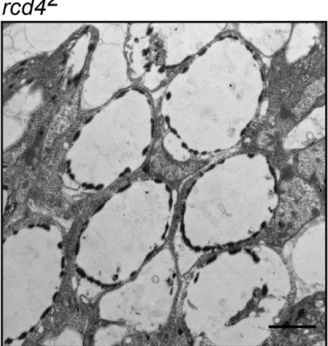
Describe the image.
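This electron micrograph shows a cross-section through a chordotonal organ with several sensory units side by side. Each unit has a large oval pale lumen outlined by a ring of dark electron-dense rods. The lumens appear empty, without the small round ciliary cross-sections expected inside them. Darker, irregular cytoplasm of surrounding cells fills the spaces between the lumens.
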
